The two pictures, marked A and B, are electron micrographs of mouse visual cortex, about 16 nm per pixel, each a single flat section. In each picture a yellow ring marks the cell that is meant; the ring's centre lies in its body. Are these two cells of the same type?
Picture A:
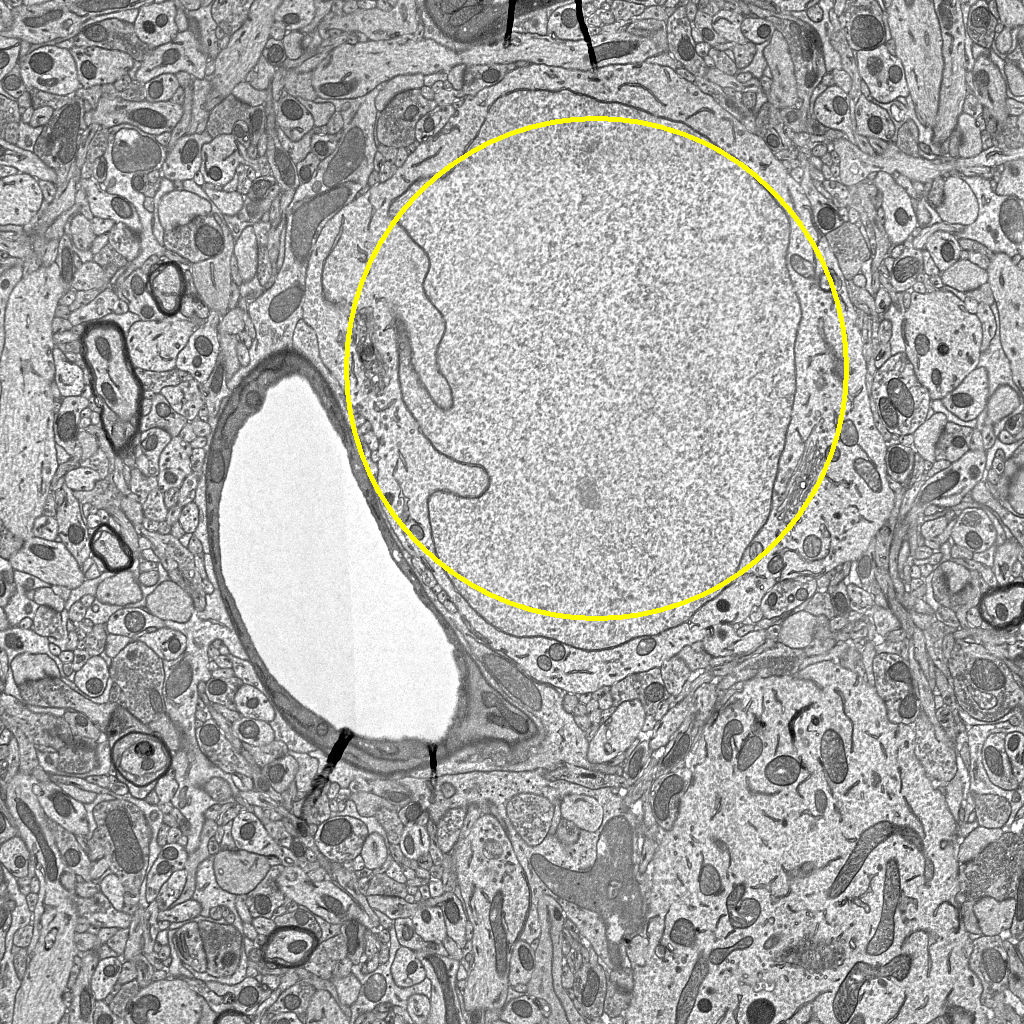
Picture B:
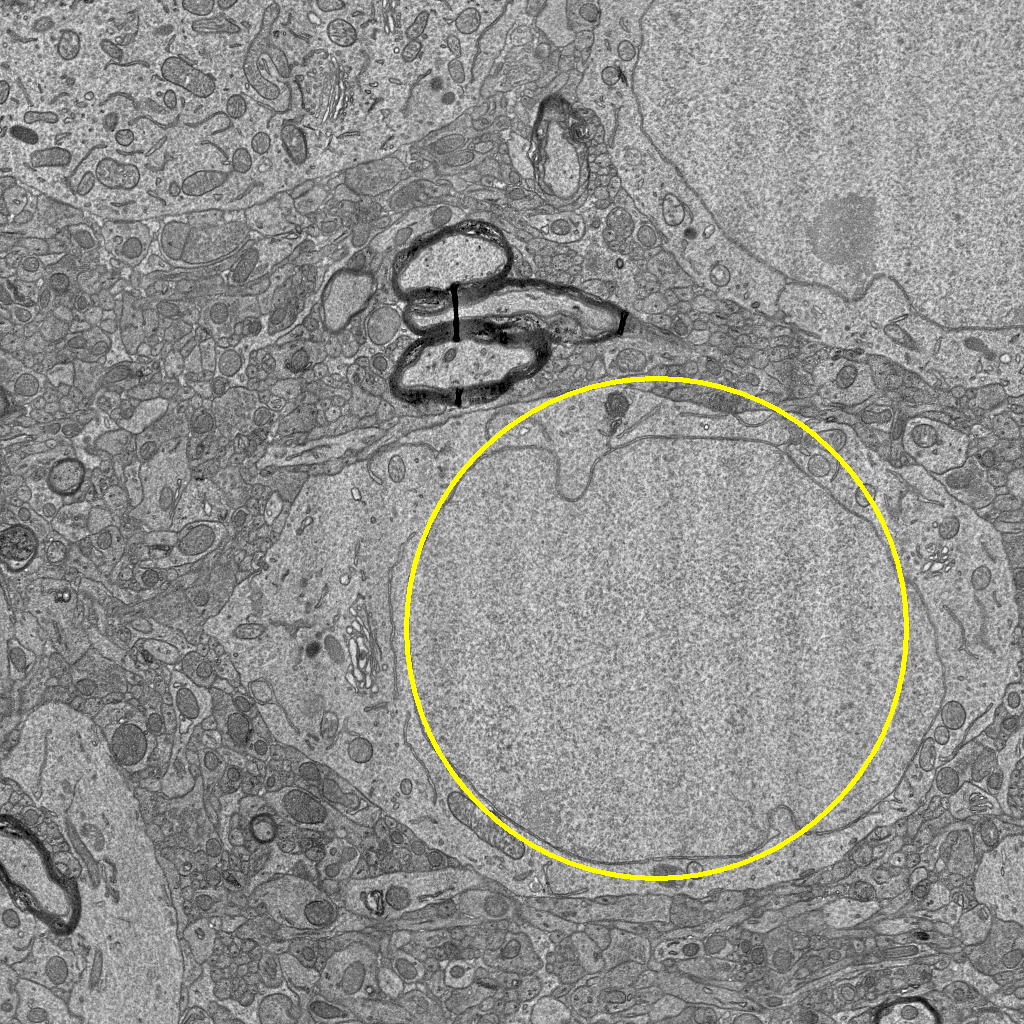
Yes; the cells in both pictures are excitatory neurons.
